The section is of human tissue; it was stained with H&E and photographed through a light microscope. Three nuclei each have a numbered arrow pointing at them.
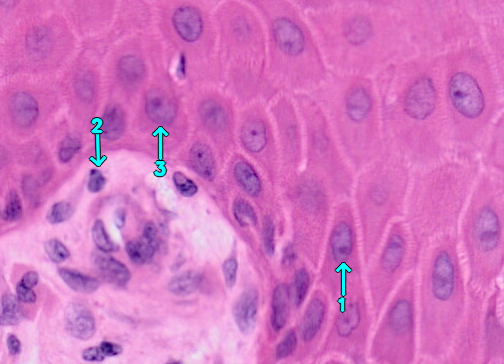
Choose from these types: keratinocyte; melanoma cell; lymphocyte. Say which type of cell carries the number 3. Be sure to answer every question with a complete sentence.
The label 3 in this section denotes a keratinocyte.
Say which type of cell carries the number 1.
The cell marked with number 1 is a keratinocyte.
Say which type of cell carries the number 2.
The cell identified by the number 2 is a lymphocyte.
